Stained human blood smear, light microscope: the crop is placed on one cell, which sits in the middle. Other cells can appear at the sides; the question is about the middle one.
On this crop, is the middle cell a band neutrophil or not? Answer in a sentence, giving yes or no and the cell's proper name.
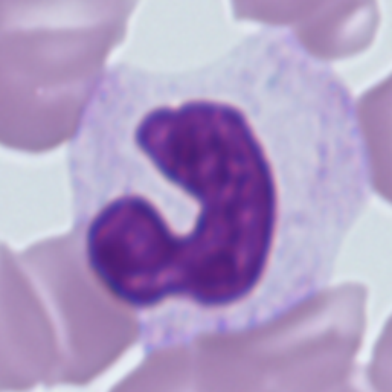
Yes, a band neutrophil occupies the middle of the crop.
